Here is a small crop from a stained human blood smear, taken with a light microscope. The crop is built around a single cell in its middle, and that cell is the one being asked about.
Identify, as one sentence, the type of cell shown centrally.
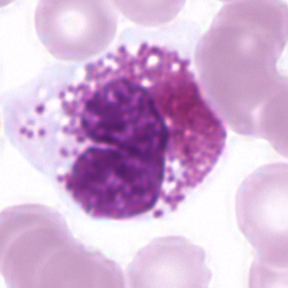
Looking at the middle of the crop, the cell there is an eosinophil.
